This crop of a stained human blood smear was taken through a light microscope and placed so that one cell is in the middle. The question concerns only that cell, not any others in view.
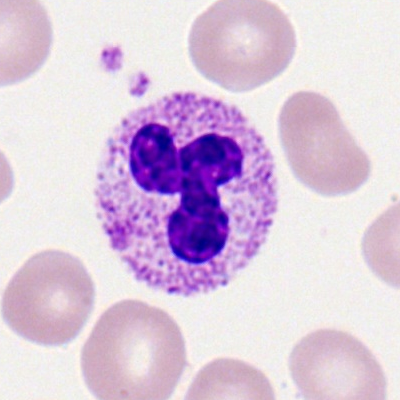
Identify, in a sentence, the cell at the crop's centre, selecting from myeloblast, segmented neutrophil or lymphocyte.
The centered cell in this crop is a segmented neutrophil.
